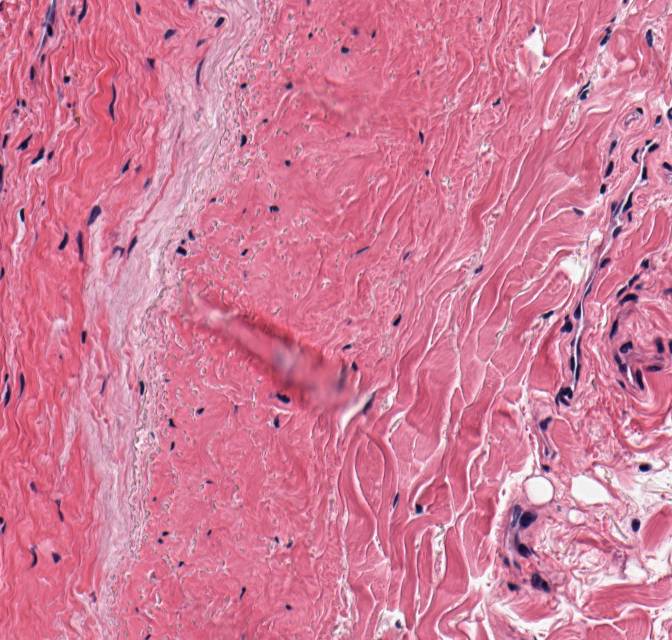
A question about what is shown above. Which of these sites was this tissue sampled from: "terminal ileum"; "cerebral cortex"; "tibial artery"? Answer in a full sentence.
The site this tissue was sampled from is the tibial artery.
